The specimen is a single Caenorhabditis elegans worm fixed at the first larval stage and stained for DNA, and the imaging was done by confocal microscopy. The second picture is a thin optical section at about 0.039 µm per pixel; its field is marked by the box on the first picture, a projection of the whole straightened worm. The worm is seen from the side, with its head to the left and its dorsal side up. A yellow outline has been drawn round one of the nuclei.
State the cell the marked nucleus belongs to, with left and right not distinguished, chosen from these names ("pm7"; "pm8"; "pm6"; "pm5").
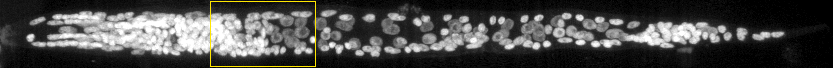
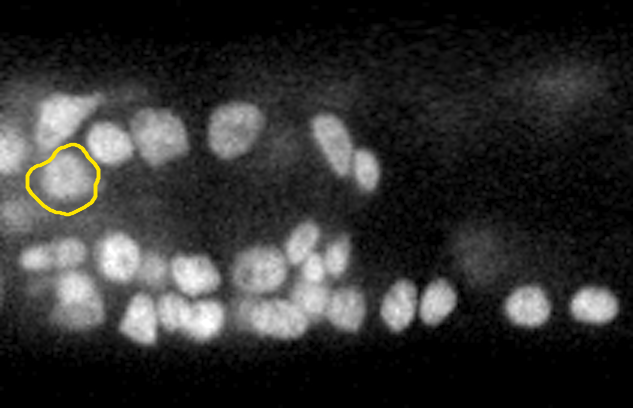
pm5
